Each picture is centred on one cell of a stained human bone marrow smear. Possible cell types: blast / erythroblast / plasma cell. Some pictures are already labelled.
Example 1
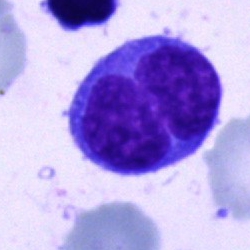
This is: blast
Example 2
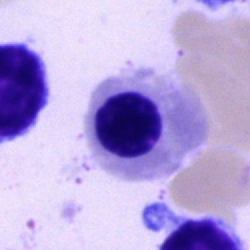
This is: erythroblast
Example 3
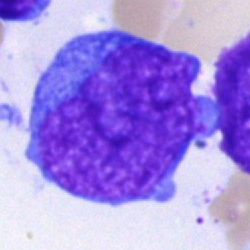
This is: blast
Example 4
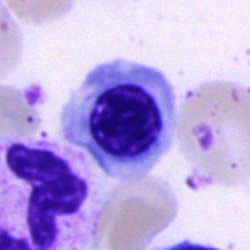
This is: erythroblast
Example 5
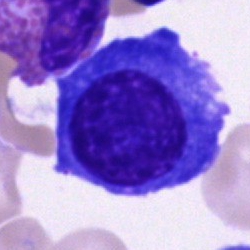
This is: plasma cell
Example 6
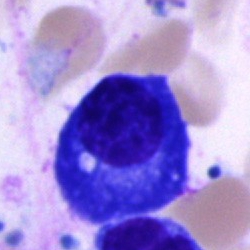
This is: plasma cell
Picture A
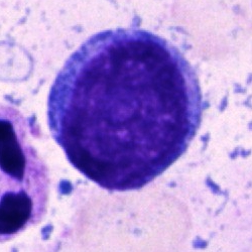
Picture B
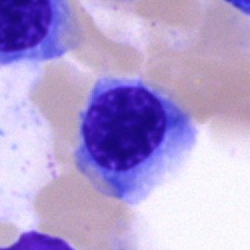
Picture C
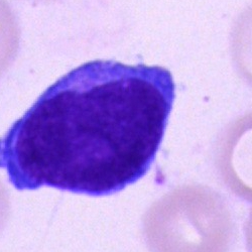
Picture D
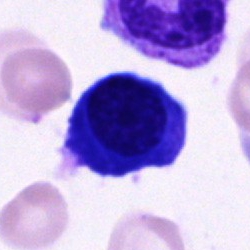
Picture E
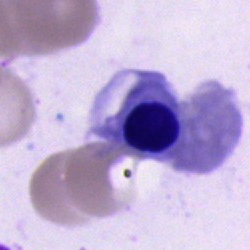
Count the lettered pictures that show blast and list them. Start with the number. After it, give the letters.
2: A, C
